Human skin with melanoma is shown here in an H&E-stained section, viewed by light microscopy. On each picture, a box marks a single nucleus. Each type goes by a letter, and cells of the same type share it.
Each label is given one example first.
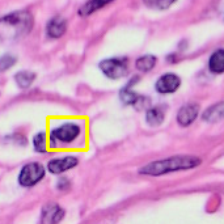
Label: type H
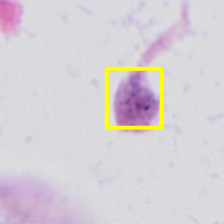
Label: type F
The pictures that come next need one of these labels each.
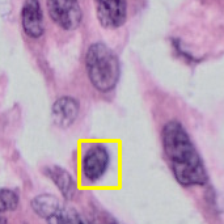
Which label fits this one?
type F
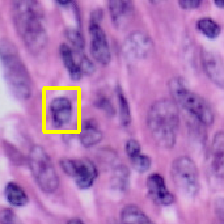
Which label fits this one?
type H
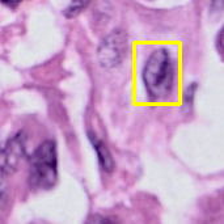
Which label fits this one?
type F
